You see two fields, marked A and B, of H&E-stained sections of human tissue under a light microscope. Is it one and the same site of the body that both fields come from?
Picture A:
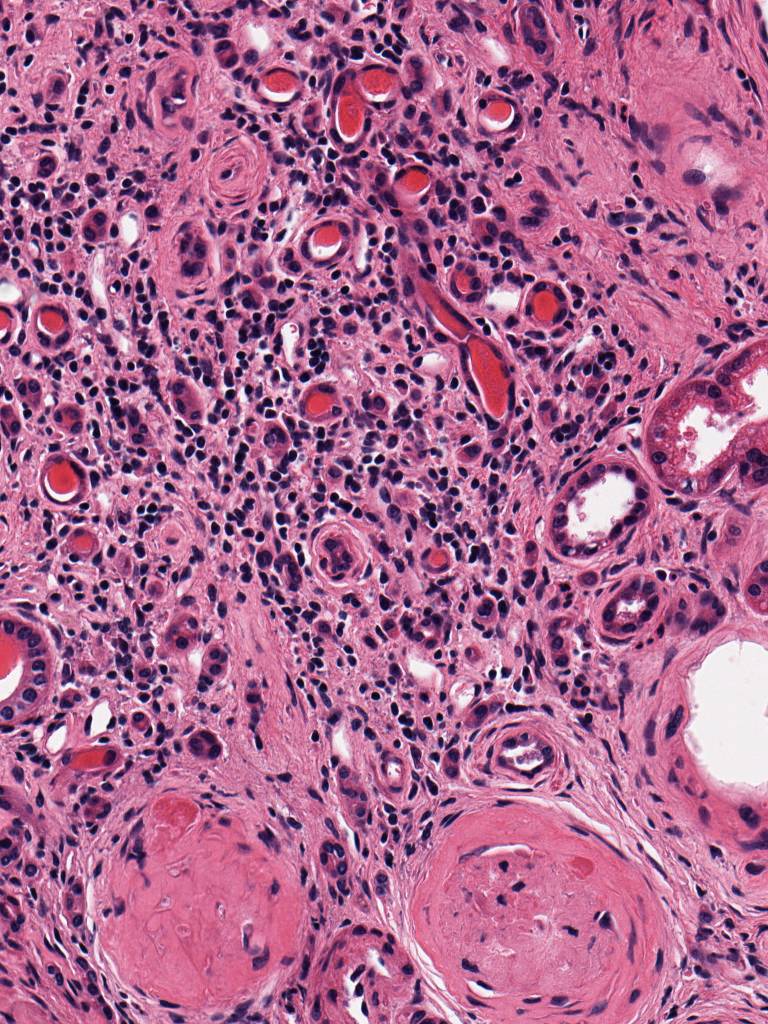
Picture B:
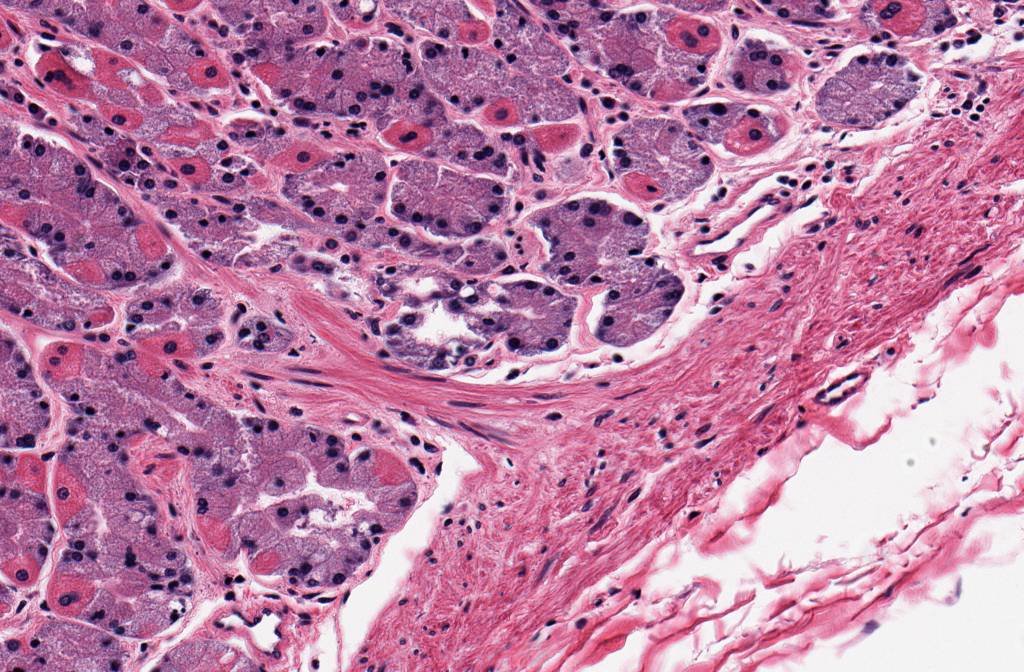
no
